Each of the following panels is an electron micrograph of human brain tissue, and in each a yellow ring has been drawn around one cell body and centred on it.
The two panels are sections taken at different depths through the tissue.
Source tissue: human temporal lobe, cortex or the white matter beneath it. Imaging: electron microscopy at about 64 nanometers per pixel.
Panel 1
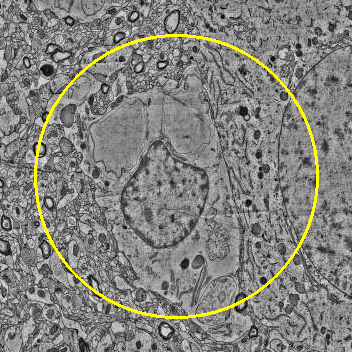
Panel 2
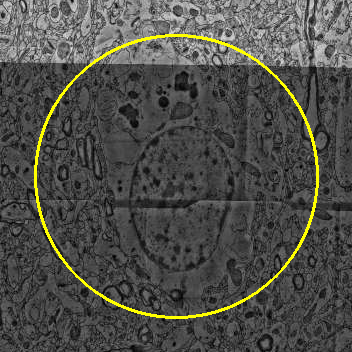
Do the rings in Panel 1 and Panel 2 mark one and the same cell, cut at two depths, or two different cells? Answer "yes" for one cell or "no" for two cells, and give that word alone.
no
